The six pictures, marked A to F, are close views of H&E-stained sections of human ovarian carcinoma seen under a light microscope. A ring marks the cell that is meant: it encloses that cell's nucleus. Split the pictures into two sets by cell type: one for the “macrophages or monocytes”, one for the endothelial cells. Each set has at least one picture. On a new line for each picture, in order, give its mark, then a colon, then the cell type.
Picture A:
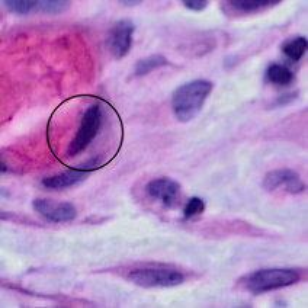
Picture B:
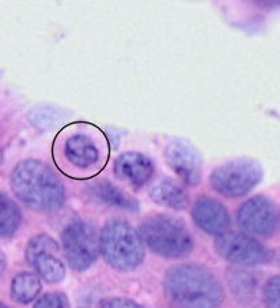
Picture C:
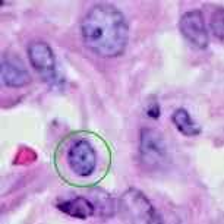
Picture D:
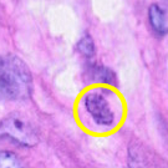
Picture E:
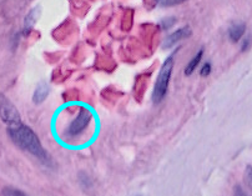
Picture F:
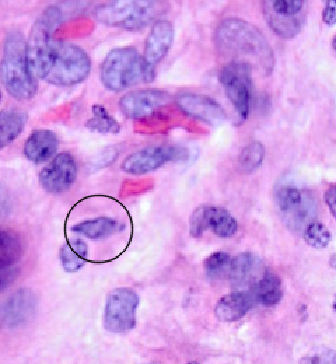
A: endothelial cell
B: macrophage or monocyte
C: macrophage or monocyte
D: macrophage or monocyte
E: endothelial cell
F: macrophage or monocyte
